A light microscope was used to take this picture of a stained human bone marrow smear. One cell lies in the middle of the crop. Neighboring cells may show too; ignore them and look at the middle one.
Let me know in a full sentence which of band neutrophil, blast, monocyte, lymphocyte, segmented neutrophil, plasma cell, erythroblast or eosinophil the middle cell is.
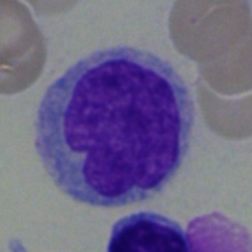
The cell centred in this crop is categorized as a monocyte.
